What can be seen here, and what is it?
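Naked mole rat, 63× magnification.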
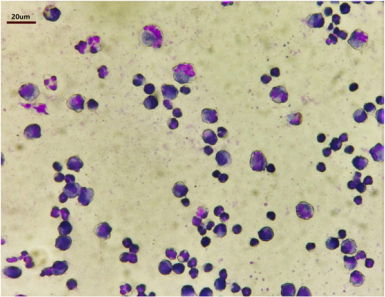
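Stained cytology preparation of loosely scattered single cells of two sizes. Larger rounded cells have grey-violet cytoplasm, some containing magenta-pink material. Many smaller cells with compact, dark purple staining lie between and against them.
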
